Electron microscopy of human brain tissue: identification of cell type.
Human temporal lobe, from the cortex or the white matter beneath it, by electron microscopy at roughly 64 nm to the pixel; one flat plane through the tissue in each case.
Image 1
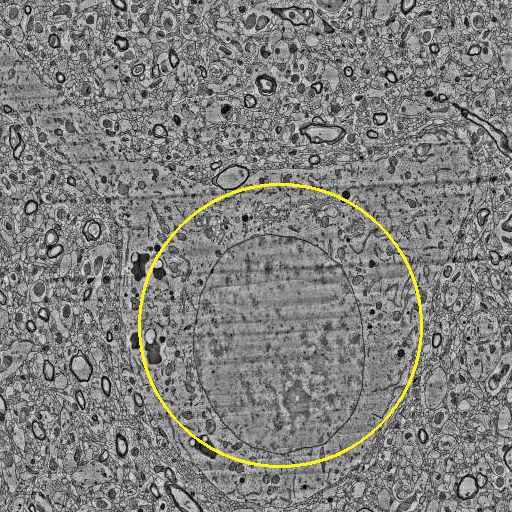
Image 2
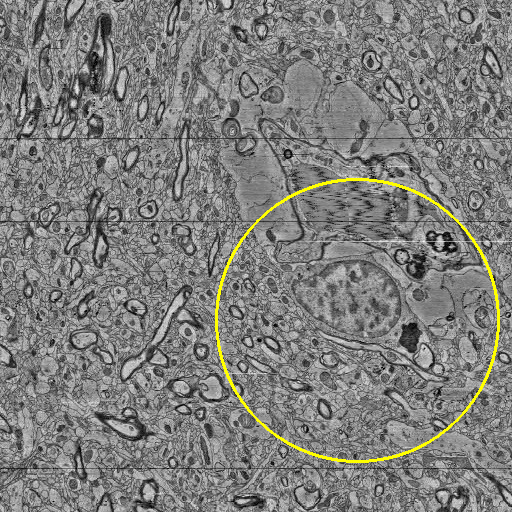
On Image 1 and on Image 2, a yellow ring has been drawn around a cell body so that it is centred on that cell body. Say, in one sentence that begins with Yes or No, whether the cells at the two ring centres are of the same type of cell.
No, the two cells are two separate types of cell.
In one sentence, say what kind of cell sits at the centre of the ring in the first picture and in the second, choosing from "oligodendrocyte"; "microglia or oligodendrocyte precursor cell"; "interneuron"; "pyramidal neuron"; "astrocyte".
The first picture's ringed cell is a pyramidal neuron, while the second picture's is an oligodendrocyte.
